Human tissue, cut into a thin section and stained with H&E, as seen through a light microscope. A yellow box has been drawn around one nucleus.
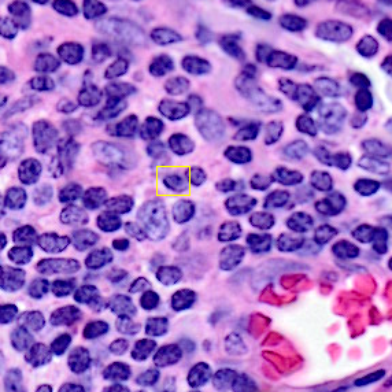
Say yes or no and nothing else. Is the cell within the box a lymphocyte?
yes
